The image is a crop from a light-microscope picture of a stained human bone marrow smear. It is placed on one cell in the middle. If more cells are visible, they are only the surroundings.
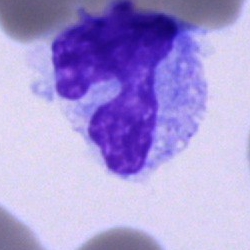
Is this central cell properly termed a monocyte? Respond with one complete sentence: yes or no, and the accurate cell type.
Yes, the cell here in the middle is a monocyte.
